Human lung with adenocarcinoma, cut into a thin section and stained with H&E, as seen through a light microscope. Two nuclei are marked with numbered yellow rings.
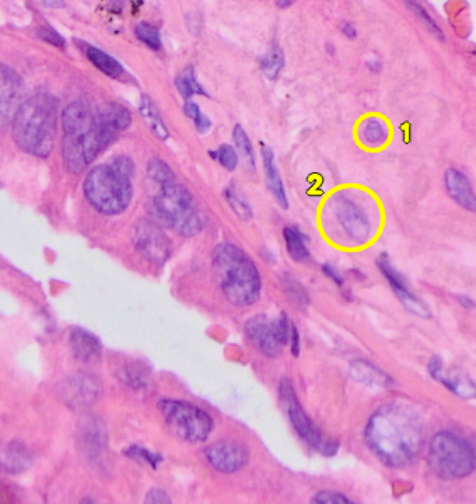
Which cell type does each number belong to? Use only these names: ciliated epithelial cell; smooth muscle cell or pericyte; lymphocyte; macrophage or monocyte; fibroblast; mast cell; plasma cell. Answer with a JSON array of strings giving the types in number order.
["smooth muscle cell or pericyte", "fibroblast"]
